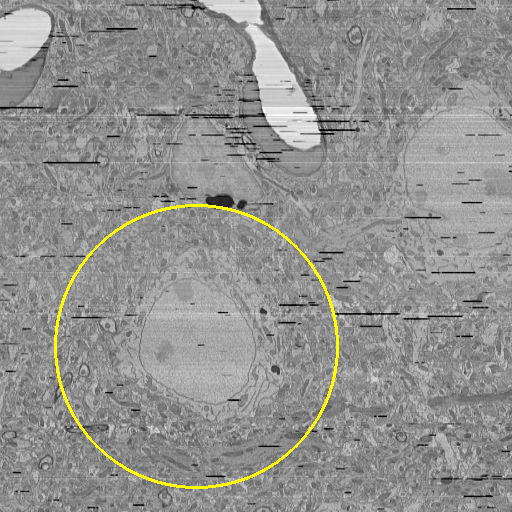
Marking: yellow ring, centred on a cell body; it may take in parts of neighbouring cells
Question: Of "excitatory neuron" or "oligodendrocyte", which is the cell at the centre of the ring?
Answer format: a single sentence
The ring surrounds the body of an excitatory neuron.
